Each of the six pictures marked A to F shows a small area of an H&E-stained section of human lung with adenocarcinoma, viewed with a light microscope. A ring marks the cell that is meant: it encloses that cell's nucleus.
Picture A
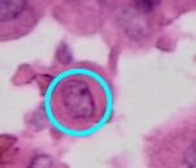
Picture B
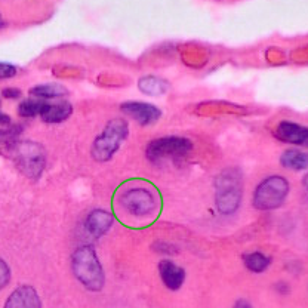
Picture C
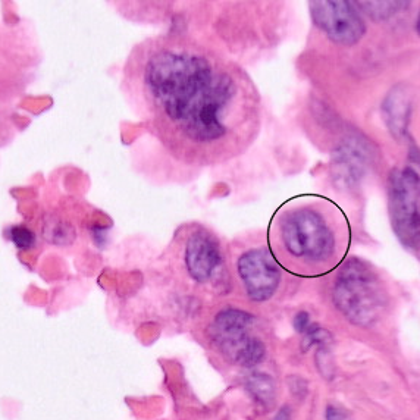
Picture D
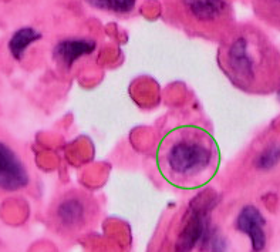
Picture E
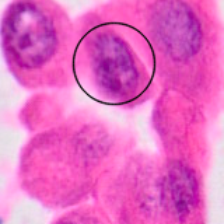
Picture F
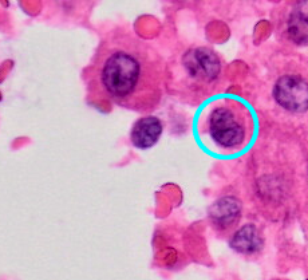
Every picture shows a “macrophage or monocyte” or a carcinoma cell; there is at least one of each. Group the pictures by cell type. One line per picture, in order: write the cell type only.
macrophage or monocyte
macrophage or monocyte
carcinoma cell
macrophage or monocyte
carcinoma cell
macrophage or monocyte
